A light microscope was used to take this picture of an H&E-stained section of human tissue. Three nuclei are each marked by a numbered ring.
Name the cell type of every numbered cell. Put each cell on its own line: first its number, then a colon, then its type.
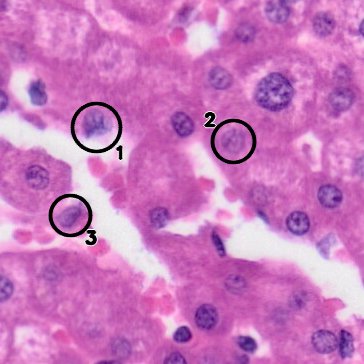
1: endothelial cell
2: hepatocyte
3: Kupffer cell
